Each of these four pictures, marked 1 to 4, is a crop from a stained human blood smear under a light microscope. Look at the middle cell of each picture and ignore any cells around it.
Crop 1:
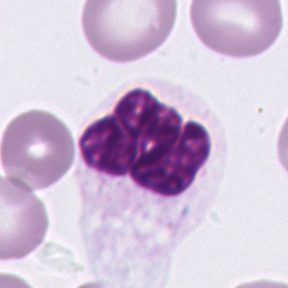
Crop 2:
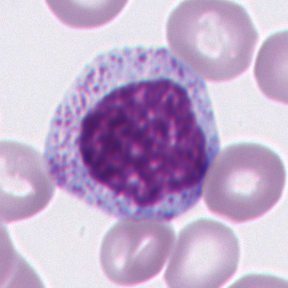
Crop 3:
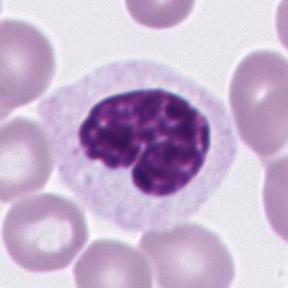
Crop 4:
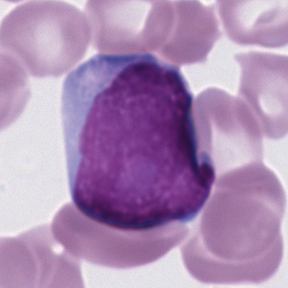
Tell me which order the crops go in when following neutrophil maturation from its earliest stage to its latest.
4, 2, 3, 1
